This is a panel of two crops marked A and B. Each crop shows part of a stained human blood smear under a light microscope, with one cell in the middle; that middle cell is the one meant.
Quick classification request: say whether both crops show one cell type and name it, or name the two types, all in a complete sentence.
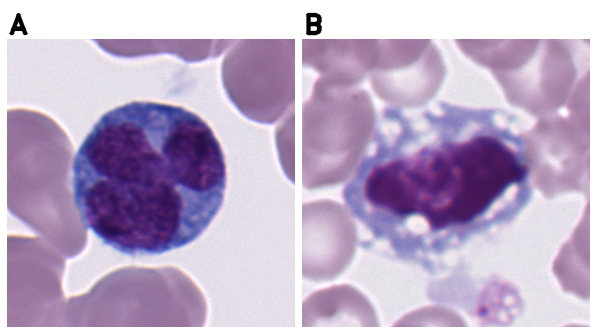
Yes, both crops show monocytes at their middles.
